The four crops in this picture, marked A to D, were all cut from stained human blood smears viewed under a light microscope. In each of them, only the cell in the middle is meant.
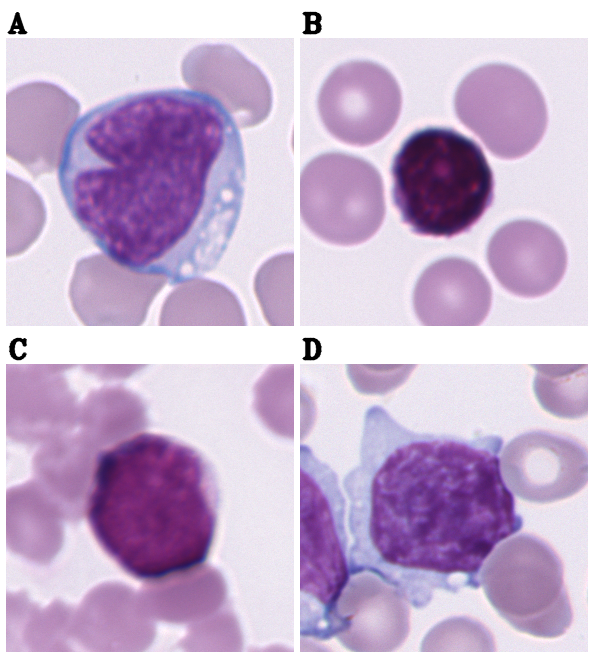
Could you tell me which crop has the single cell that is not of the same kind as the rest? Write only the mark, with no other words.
B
